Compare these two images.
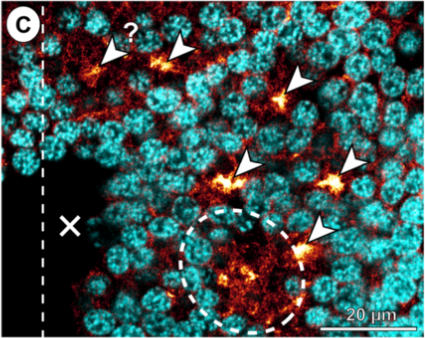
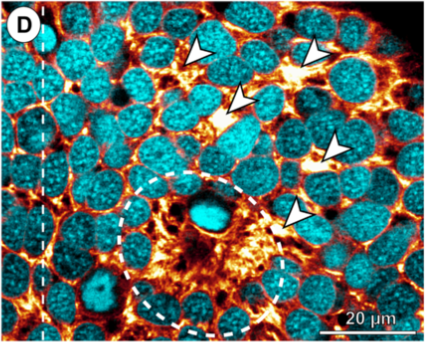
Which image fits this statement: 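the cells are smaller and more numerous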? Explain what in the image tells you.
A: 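Second image: fewer, larger oval nuclei separated by bright cell outlines. First image: many small round nuclei densely packed at the same scale.
Conclusion: the first image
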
